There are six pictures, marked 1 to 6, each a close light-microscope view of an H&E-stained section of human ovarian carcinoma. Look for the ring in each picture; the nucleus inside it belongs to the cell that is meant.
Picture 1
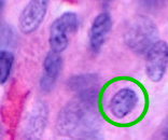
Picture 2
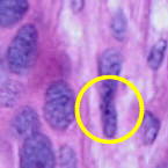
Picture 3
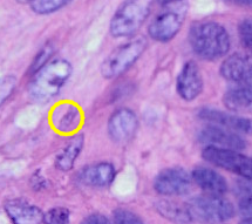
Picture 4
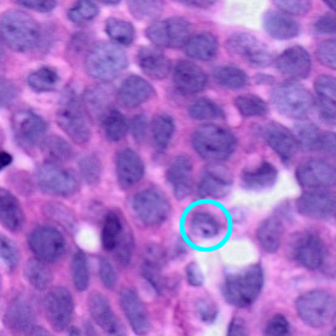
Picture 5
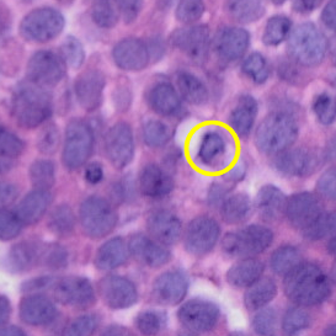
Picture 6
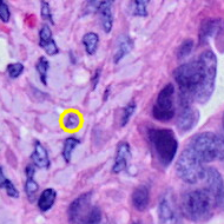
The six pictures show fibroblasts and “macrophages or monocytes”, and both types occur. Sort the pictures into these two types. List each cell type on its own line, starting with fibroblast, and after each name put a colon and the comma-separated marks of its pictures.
fibroblast: 2, 3, 6
macrophage or monocyte: 1, 4, 5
